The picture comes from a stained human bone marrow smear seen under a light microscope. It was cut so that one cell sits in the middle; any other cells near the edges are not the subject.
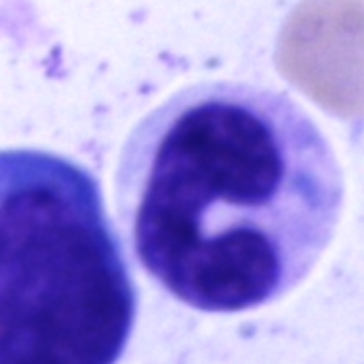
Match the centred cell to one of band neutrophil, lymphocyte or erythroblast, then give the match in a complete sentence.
What the crop centres on is a band neutrophil.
